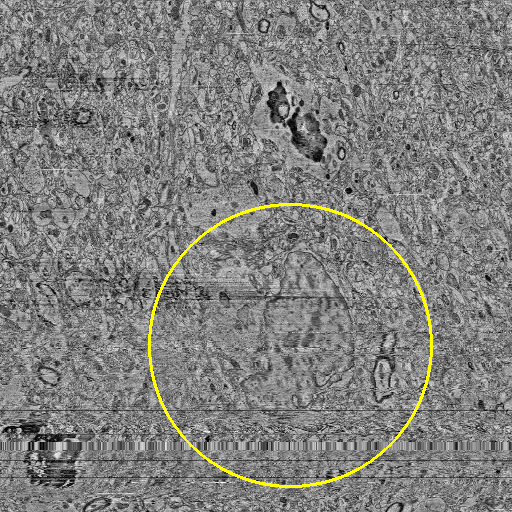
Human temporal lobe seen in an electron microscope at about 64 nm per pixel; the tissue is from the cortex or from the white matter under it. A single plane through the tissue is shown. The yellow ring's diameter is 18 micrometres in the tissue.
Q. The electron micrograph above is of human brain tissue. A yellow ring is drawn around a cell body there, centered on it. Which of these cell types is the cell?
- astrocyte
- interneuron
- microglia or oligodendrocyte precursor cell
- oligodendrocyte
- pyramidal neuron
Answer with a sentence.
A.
The cell under the ring's center is a microglial cell or oligodendrocyte precursor cell.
